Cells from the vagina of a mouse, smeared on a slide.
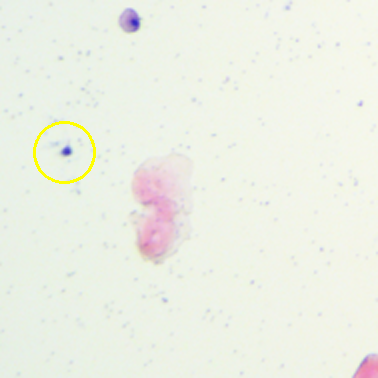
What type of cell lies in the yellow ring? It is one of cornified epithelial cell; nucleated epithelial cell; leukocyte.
The ringed cell is a leukocyte.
